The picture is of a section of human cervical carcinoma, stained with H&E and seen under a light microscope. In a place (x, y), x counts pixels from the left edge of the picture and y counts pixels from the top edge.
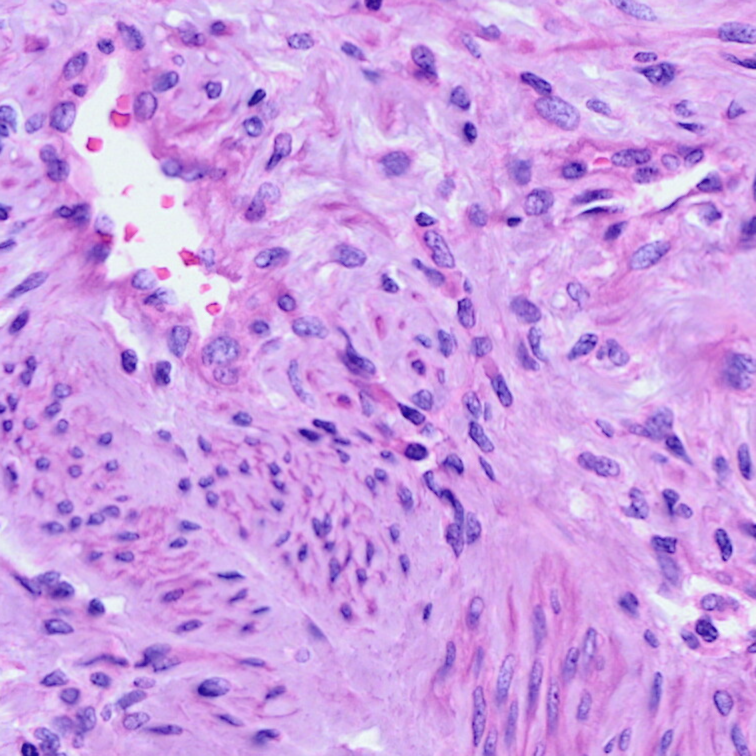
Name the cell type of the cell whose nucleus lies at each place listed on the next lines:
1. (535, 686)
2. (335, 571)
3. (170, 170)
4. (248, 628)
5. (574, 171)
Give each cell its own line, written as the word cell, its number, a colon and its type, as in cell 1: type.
cell 1: smooth muscle cell
cell 2: smooth muscle cell
cell 3: endothelial cell
cell 4: smooth muscle cell
cell 5: endothelial cell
